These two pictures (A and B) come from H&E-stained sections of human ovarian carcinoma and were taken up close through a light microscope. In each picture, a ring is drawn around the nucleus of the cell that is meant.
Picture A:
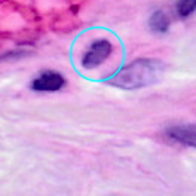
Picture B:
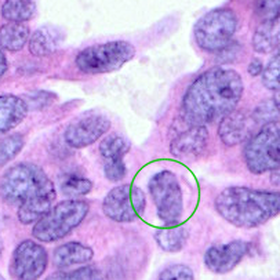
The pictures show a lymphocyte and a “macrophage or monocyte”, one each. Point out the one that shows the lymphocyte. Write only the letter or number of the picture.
A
